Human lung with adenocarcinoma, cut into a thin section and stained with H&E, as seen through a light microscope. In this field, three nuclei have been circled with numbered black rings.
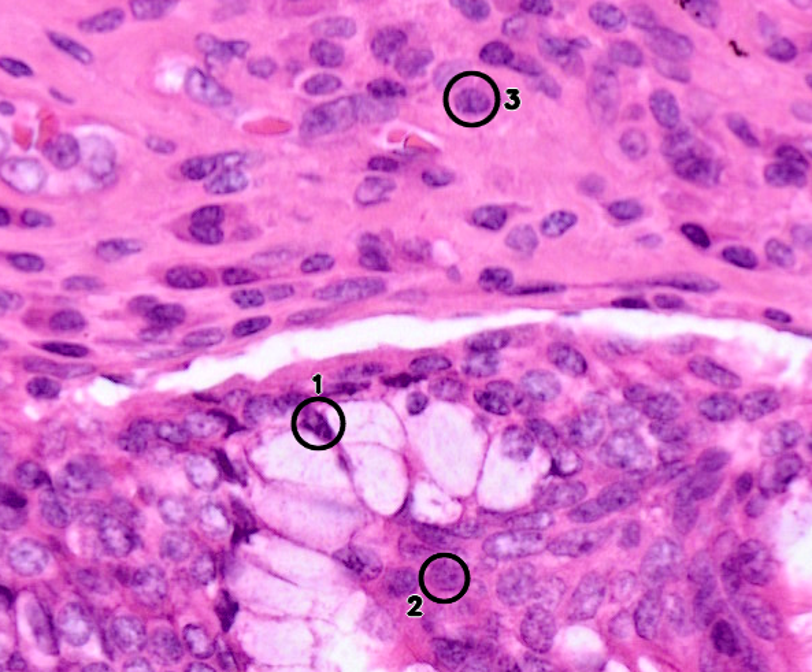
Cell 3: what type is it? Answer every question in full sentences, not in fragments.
The cell with the number 3 is a plasma cell.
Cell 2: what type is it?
Here the cell numbered 2 is a ciliated epithelial cell.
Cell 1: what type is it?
It is as a ciliated epithelial cell that the cell numbered 1 is identified.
